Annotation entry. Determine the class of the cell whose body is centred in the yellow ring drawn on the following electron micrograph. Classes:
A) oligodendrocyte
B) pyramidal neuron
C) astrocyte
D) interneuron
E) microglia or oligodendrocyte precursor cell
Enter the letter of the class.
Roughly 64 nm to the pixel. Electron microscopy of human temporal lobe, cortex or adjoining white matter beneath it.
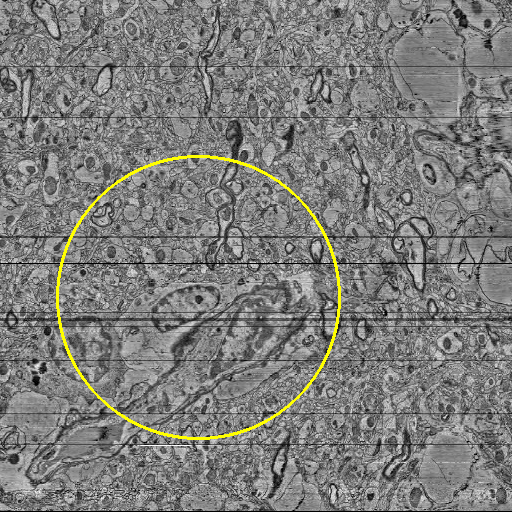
E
